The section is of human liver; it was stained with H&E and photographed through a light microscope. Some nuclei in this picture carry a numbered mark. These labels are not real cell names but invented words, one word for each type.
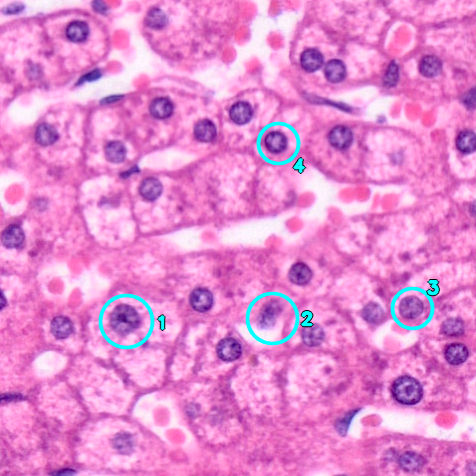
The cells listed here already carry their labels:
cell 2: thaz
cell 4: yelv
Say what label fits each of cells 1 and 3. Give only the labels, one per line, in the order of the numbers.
yelv
yelv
